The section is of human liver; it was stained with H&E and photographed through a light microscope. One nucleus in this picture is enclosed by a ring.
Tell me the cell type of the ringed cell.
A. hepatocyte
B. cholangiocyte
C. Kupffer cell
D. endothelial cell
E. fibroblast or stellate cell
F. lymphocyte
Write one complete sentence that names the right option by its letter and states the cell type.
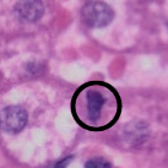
Option E stands as correct, with the ringed cell being a fibroblast or stellate cell.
